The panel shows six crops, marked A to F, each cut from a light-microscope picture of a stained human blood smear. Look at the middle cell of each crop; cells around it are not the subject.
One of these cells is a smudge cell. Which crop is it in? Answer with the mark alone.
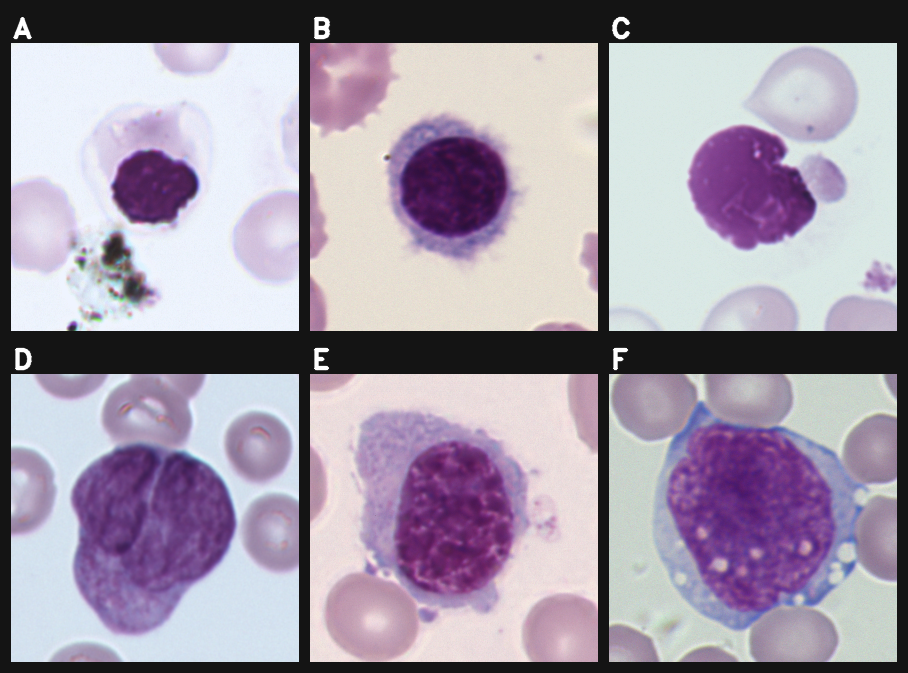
C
